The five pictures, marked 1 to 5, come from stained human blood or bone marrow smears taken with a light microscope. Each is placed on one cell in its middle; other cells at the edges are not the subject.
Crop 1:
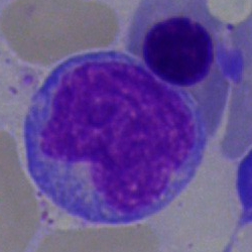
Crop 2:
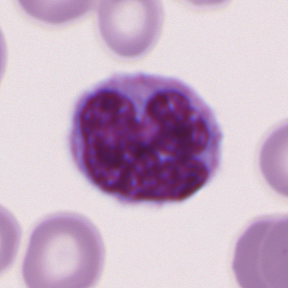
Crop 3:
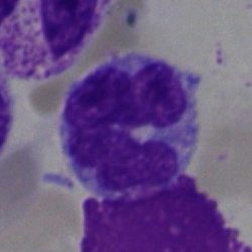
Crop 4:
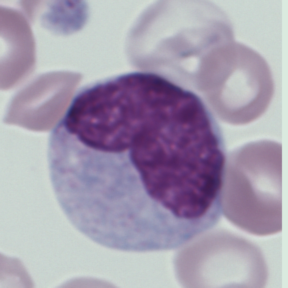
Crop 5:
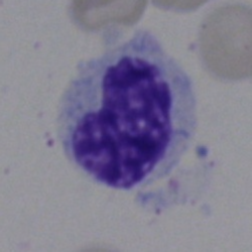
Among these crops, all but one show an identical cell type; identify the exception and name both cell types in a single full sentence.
Crop 5 is a metamyelocyte, and the other crops all show monocytes.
